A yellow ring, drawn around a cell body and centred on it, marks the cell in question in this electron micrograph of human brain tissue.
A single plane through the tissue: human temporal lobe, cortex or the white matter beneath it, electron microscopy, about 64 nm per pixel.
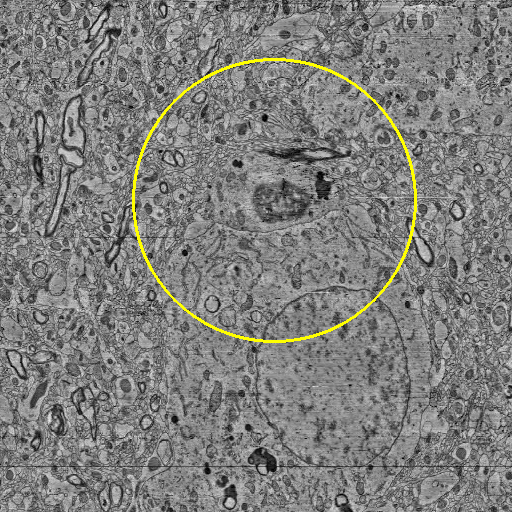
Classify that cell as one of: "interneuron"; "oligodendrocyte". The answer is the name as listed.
oligodendrocyte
